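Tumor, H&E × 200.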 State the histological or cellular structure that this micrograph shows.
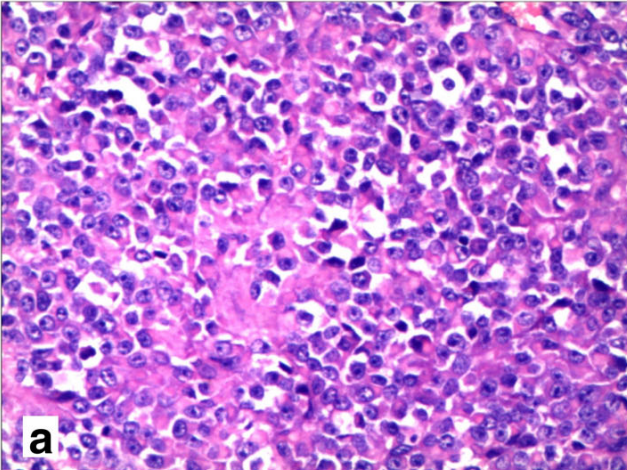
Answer: Patternless sheets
